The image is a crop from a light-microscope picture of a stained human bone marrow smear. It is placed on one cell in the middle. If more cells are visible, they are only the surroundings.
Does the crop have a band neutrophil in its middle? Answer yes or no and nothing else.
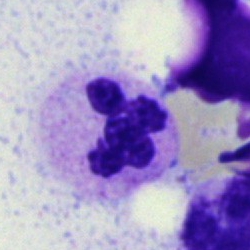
no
